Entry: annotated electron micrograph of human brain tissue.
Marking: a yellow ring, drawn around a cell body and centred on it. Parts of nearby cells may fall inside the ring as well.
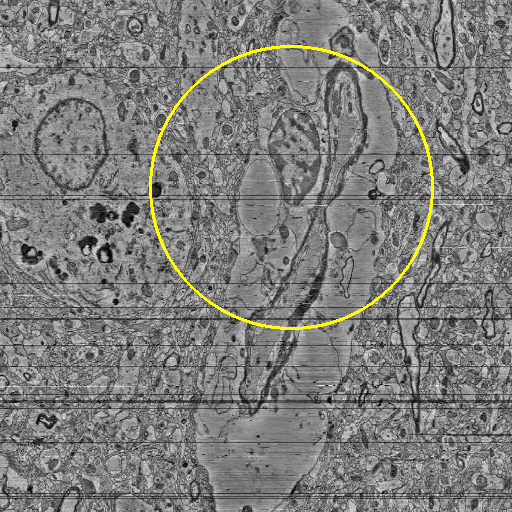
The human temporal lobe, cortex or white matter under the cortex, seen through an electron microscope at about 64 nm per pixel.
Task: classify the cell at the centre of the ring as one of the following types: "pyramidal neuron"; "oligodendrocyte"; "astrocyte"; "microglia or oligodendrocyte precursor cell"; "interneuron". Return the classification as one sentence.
The marked cell is classified as a microglial cell or oligodendrocyte precursor cell.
